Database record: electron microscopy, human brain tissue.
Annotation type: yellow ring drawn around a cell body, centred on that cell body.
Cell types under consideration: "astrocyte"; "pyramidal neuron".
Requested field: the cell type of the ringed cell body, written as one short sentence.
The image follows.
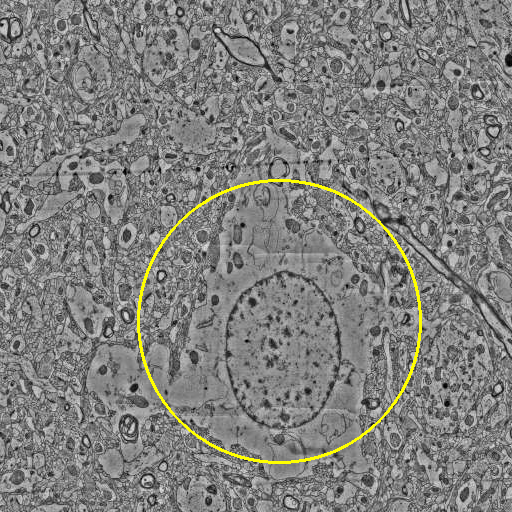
The ringed cell body represents an astrocyte.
